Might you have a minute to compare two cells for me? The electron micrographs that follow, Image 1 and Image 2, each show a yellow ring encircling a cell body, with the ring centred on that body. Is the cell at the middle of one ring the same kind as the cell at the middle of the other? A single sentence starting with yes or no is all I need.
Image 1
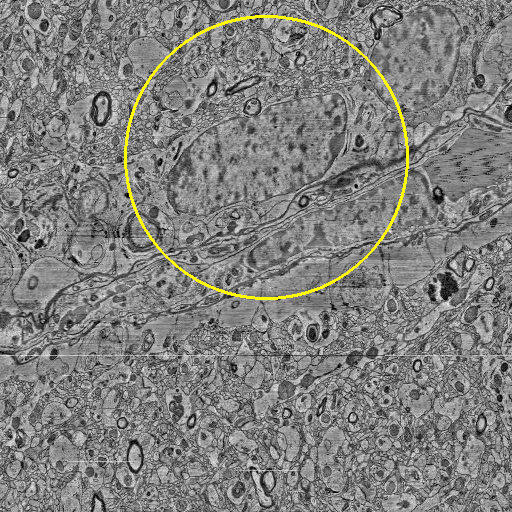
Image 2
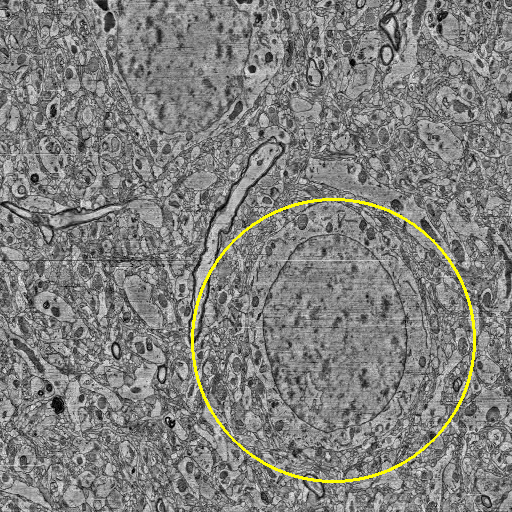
No, the cells in the middle of the two rings are of two separate kinds.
